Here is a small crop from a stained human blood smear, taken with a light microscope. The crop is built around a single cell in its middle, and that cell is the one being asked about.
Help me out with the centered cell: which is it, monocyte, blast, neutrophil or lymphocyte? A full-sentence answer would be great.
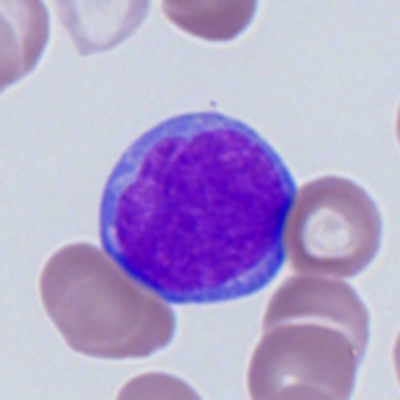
This crop is built around a blast at its centre.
